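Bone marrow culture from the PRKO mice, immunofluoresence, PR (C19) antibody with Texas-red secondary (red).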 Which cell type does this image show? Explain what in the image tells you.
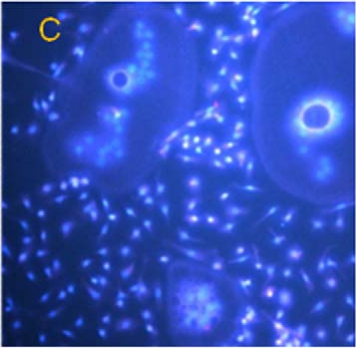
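Very large oval cells with many nuclei lie among many small cells. Many small bright blue nuclei cluster inside the giant cells. So: osteoclast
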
